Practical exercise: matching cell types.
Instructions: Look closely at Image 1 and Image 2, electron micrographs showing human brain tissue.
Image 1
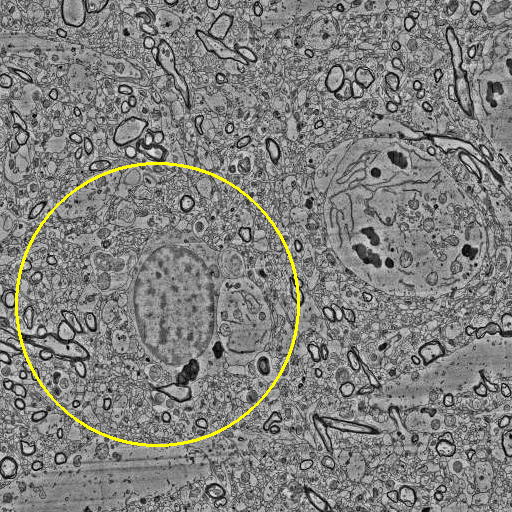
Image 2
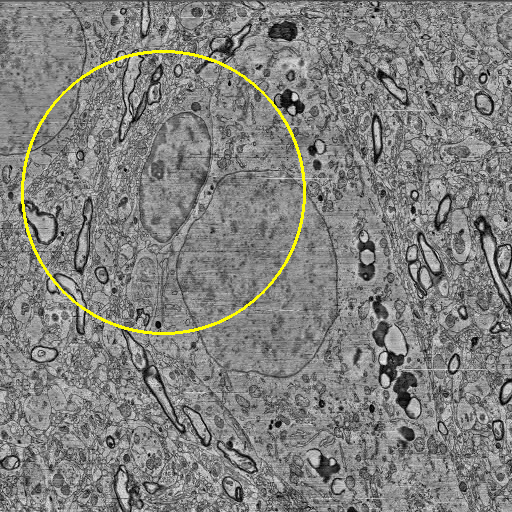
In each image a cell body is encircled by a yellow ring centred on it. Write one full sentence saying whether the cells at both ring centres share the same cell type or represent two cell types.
Across Image 1 and Image 2, the cells at the ring centres share the same cell type.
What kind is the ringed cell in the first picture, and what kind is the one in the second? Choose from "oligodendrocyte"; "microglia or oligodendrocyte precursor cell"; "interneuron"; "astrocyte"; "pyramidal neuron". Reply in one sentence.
Each of the two pictures has an oligodendrocyte at the ring centre.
